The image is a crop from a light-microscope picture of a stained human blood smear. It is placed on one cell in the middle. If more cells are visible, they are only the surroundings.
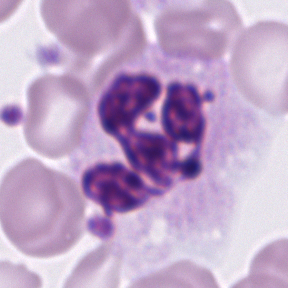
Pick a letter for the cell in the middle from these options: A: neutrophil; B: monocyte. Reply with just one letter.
A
